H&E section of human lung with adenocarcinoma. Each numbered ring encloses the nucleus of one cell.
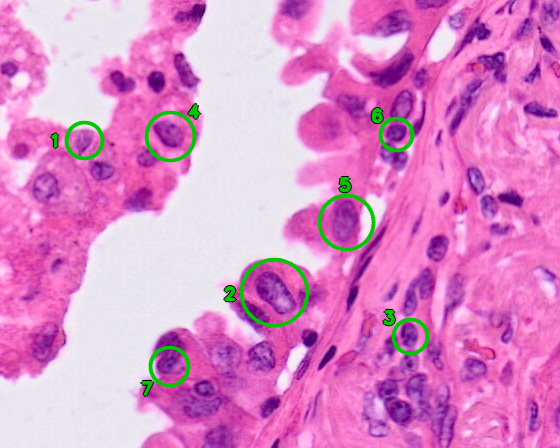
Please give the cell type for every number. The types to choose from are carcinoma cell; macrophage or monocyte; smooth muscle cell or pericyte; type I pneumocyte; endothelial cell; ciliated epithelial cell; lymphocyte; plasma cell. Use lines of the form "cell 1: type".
cell 1: macrophage or monocyte
cell 2: carcinoma cell
cell 3: lymphocyte
cell 4: macrophage or monocyte
cell 5: carcinoma cell
cell 6: lymphocyte
cell 7: carcinoma cell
